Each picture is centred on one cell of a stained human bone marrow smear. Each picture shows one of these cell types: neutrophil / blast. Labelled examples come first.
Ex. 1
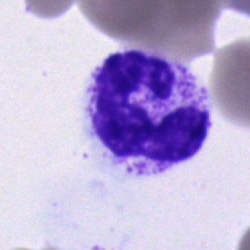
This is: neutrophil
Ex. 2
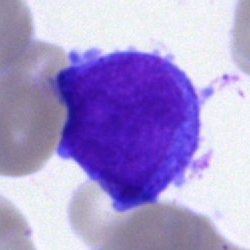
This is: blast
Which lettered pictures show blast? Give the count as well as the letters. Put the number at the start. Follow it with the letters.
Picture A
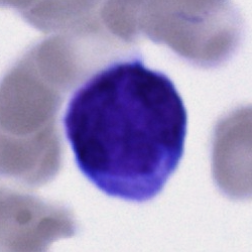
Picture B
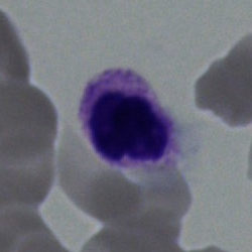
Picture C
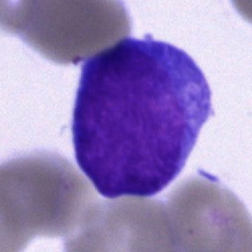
2, namely A, C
